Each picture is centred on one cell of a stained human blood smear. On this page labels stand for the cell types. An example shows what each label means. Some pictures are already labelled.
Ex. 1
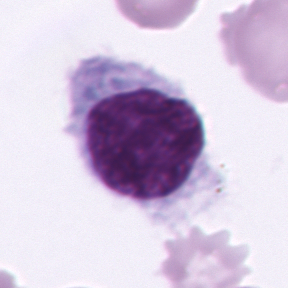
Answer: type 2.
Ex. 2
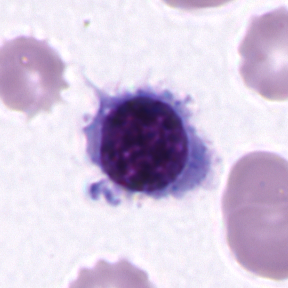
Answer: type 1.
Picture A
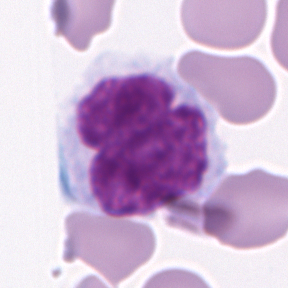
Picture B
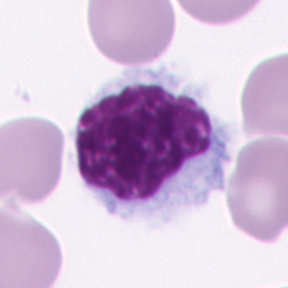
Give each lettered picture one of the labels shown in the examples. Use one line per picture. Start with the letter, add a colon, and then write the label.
A: type 2.
B: type 2.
